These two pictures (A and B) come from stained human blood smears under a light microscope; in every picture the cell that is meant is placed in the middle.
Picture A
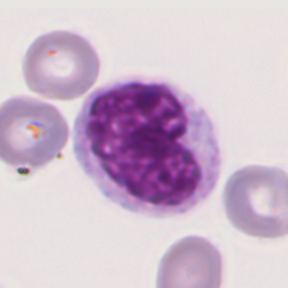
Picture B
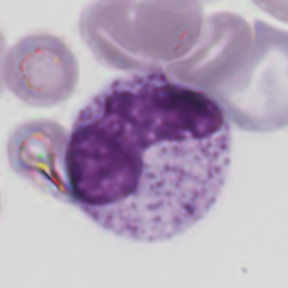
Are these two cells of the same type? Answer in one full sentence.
Yes; the cells in both pictures are band neutrophils.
